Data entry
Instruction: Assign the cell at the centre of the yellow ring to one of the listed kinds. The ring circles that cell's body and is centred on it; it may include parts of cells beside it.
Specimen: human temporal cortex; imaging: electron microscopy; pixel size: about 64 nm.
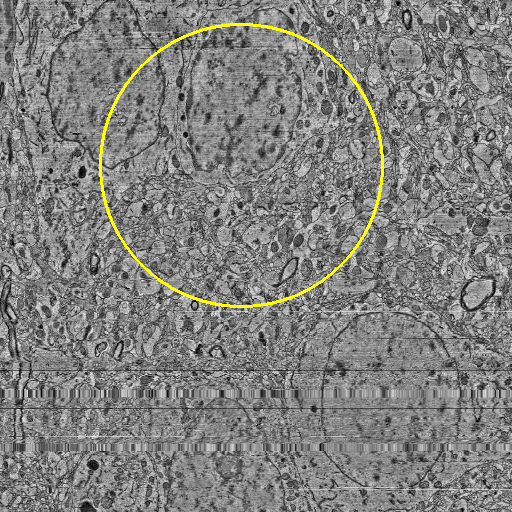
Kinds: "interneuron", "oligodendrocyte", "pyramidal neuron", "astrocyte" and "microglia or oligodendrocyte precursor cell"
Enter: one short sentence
The centre of the ring falls on an interneuron.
